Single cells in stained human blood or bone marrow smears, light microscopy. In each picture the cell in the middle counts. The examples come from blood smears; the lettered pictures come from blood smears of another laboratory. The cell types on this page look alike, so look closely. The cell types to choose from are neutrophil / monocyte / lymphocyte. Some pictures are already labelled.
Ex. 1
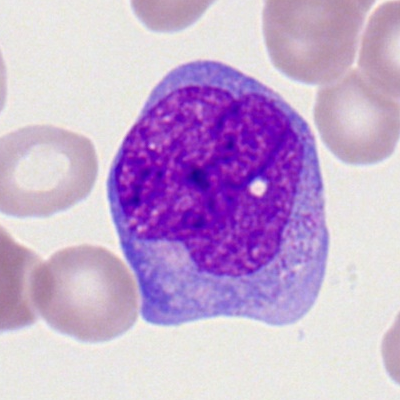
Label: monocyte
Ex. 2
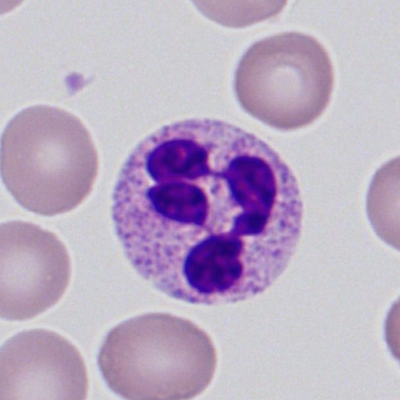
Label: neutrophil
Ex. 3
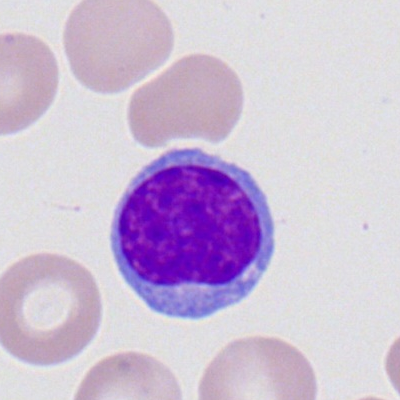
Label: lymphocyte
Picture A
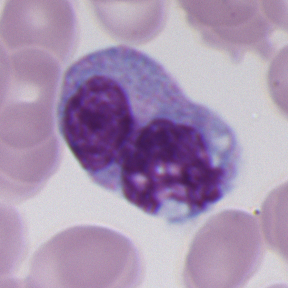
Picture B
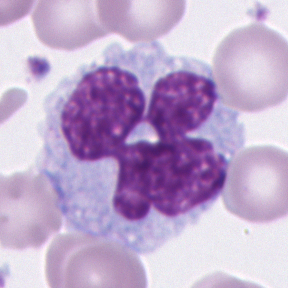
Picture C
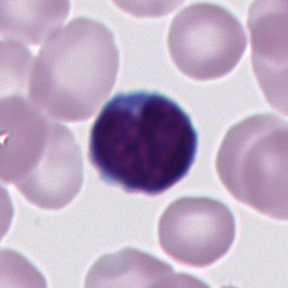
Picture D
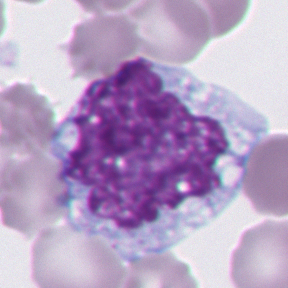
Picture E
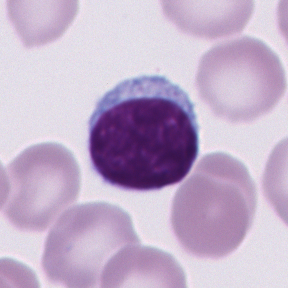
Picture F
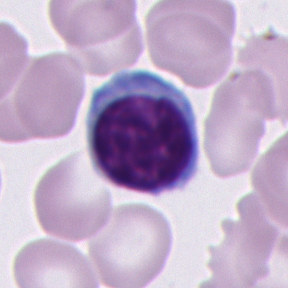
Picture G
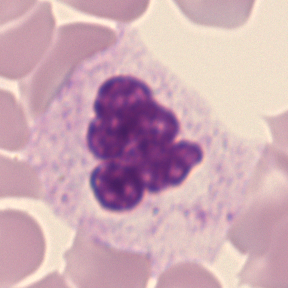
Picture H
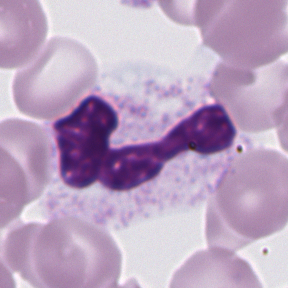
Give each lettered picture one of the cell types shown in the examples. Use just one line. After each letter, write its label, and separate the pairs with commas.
A monocyte, B monocyte, C lymphocyte, D monocyte, E lymphocyte, F lymphocyte, G neutrophil, H neutrophil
